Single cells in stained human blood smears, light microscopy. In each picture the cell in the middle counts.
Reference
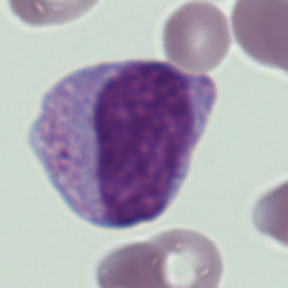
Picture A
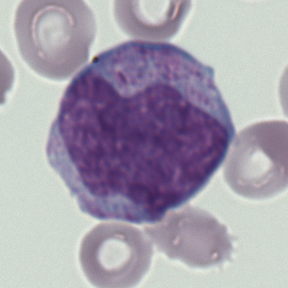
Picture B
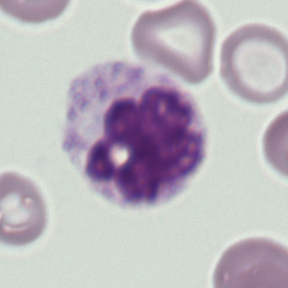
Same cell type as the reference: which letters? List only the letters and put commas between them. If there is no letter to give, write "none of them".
A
